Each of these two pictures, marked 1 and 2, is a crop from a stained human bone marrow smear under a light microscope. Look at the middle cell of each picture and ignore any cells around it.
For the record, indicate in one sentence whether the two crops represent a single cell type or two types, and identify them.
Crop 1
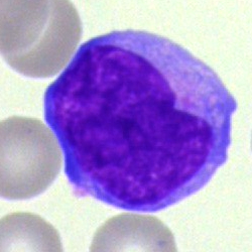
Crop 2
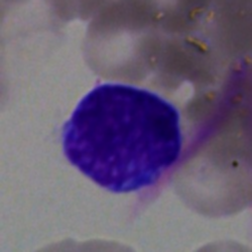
No, crop 1 captures a blast, and crop 2 captures a lymphocyte.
